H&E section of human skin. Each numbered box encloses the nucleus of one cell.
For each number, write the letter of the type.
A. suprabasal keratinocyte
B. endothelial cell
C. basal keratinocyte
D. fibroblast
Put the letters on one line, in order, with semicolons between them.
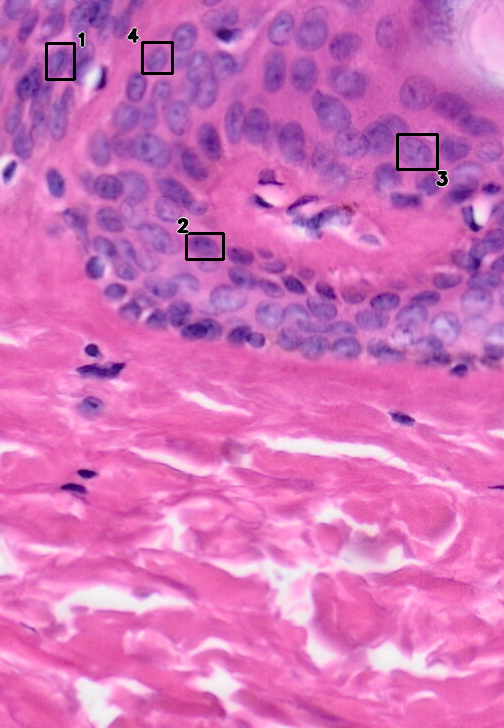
C; C; A; C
